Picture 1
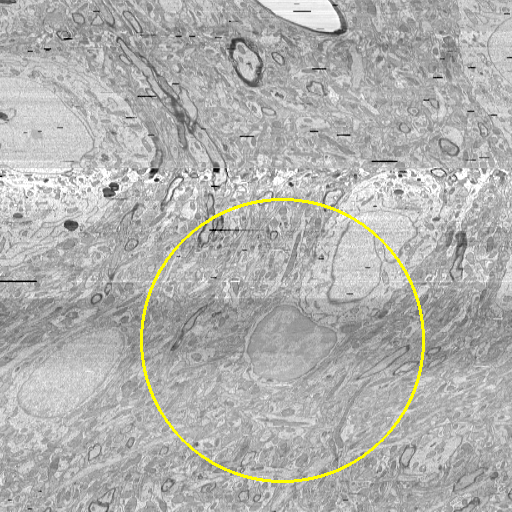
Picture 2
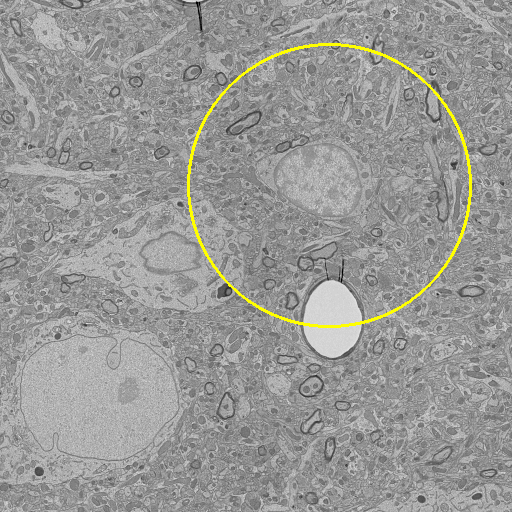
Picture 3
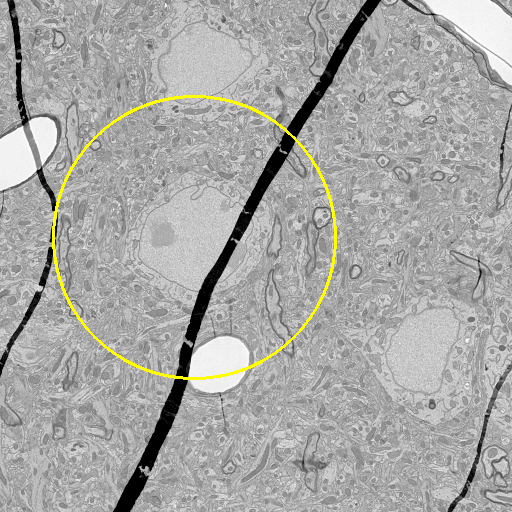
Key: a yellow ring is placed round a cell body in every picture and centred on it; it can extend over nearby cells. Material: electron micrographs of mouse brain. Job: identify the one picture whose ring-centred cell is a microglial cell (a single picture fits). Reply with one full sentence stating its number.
Picture 1 is the one with the sought cell at the centre of its ring.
